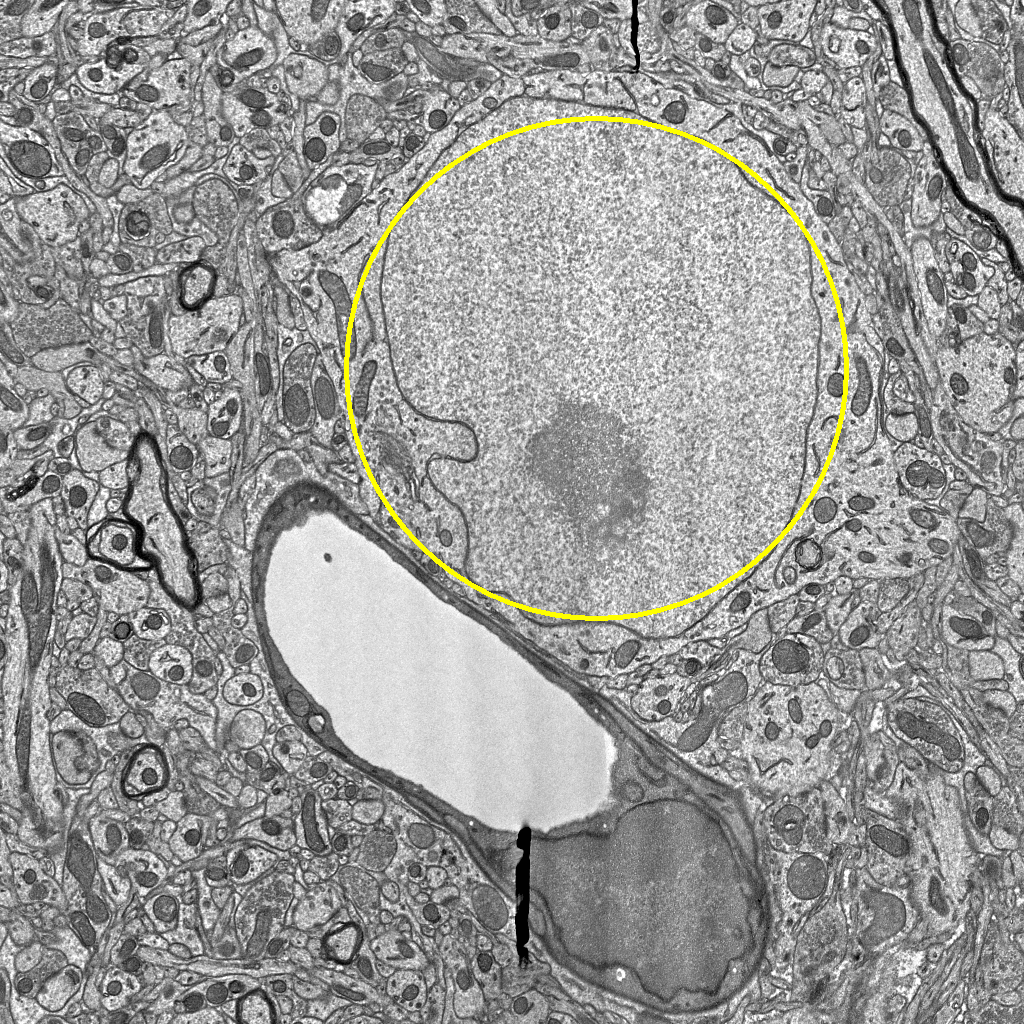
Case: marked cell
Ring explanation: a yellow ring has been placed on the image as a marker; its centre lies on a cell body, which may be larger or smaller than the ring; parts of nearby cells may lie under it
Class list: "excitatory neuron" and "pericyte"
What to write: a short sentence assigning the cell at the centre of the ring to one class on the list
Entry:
The cell at the ring's centre is an excitatory neuron.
